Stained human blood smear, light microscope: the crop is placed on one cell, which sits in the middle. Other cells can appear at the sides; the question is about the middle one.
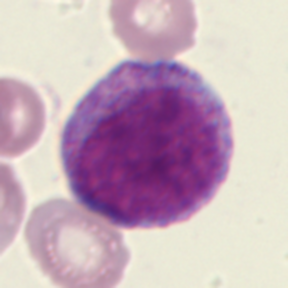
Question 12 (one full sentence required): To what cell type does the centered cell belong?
The cell in the middle of the field of view is a promyelocyte.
